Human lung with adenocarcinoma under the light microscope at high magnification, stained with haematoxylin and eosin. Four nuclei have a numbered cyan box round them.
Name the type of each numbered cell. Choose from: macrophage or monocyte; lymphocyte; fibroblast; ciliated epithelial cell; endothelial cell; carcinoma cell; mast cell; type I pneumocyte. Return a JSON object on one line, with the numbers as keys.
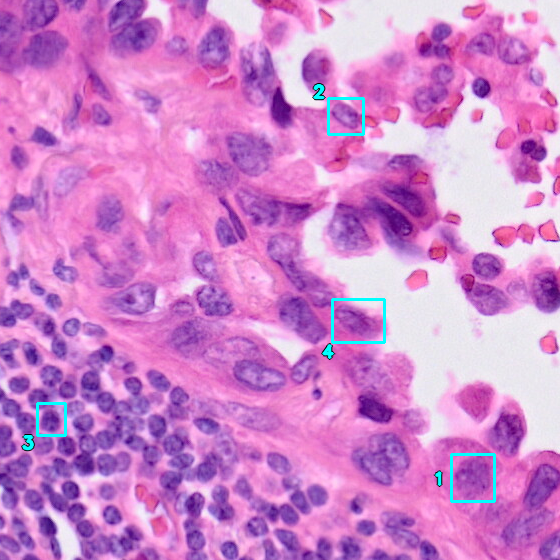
{"1": "carcinoma cell", "2": "macrophage or monocyte", "3": "lymphocyte", "4": "carcinoma cell"}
